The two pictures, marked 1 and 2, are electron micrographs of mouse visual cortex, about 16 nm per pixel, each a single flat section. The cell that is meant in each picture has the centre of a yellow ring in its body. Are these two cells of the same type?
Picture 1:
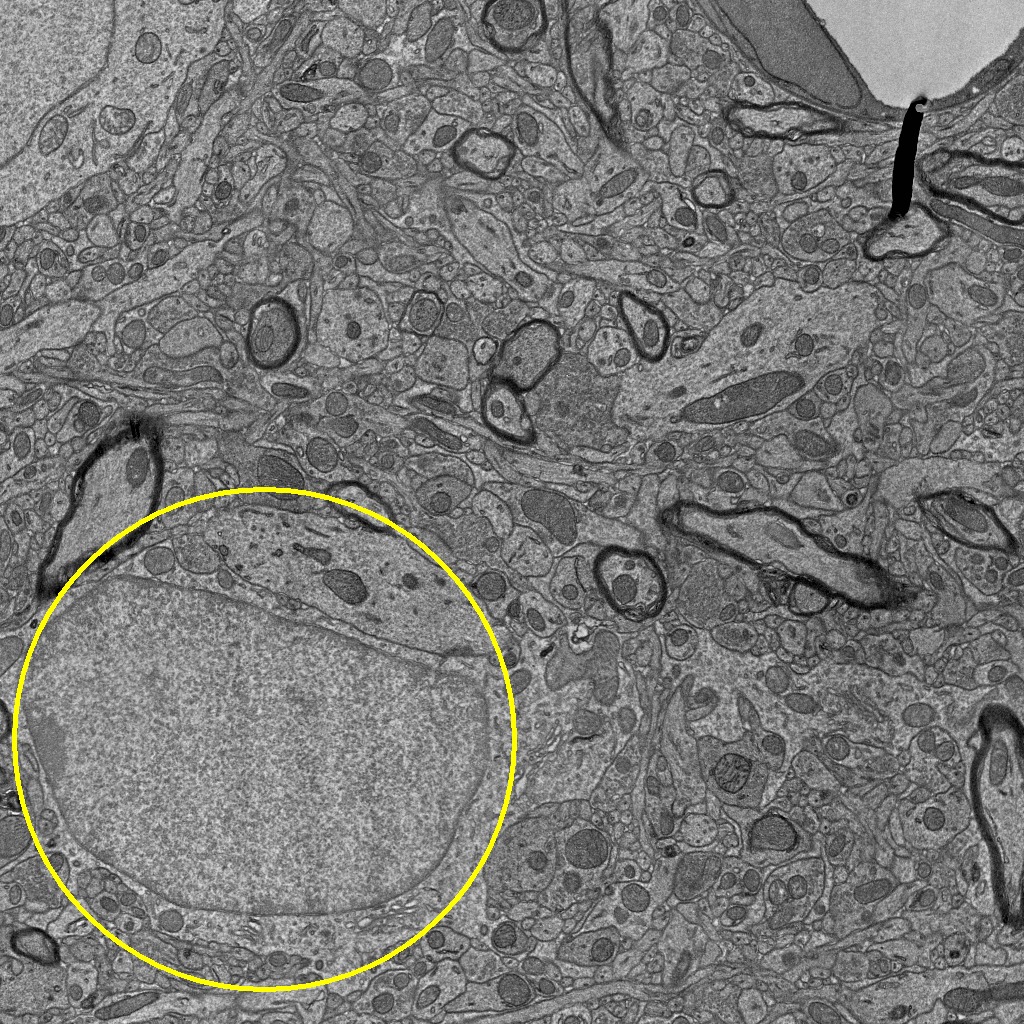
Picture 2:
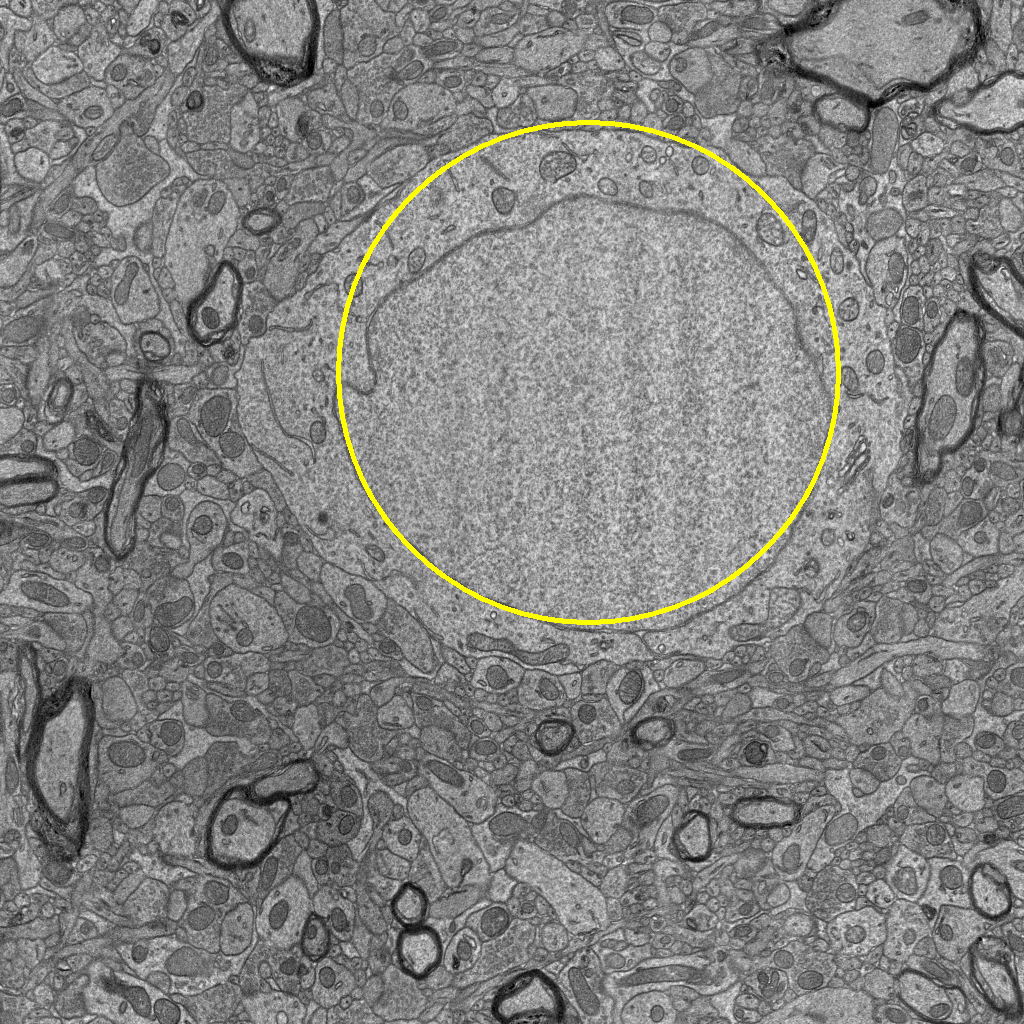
No, picture 1 shows an astrocyte and picture 2 shows an excitatory neuron.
